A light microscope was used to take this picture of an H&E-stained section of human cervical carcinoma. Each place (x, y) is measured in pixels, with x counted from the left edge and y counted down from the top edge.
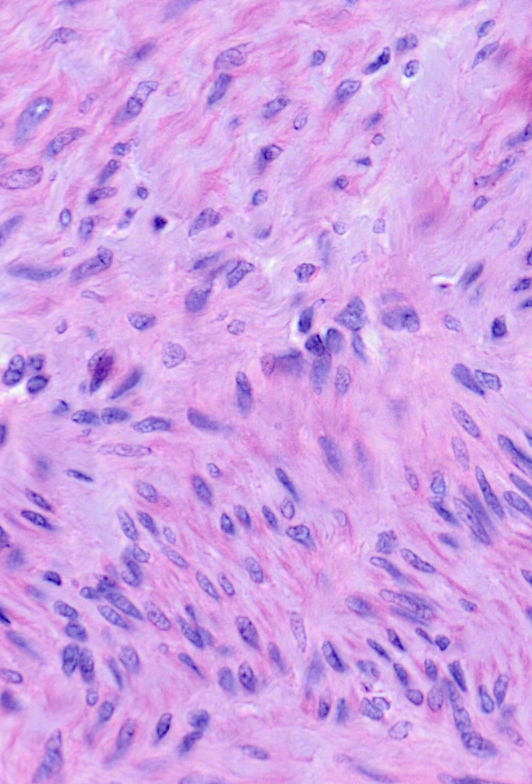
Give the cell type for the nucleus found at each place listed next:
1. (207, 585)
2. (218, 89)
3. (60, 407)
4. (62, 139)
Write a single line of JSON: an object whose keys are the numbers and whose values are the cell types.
{"1": "smooth muscle cell", "2": "smooth muscle cell", "3": "fibroblast", "4": "smooth muscle cell"}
